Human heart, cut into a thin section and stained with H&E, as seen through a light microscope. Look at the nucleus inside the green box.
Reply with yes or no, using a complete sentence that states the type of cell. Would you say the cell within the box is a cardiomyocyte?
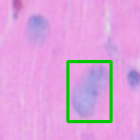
Yes, in terms of cell type, the cell within the box is a cardiomyocyte.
